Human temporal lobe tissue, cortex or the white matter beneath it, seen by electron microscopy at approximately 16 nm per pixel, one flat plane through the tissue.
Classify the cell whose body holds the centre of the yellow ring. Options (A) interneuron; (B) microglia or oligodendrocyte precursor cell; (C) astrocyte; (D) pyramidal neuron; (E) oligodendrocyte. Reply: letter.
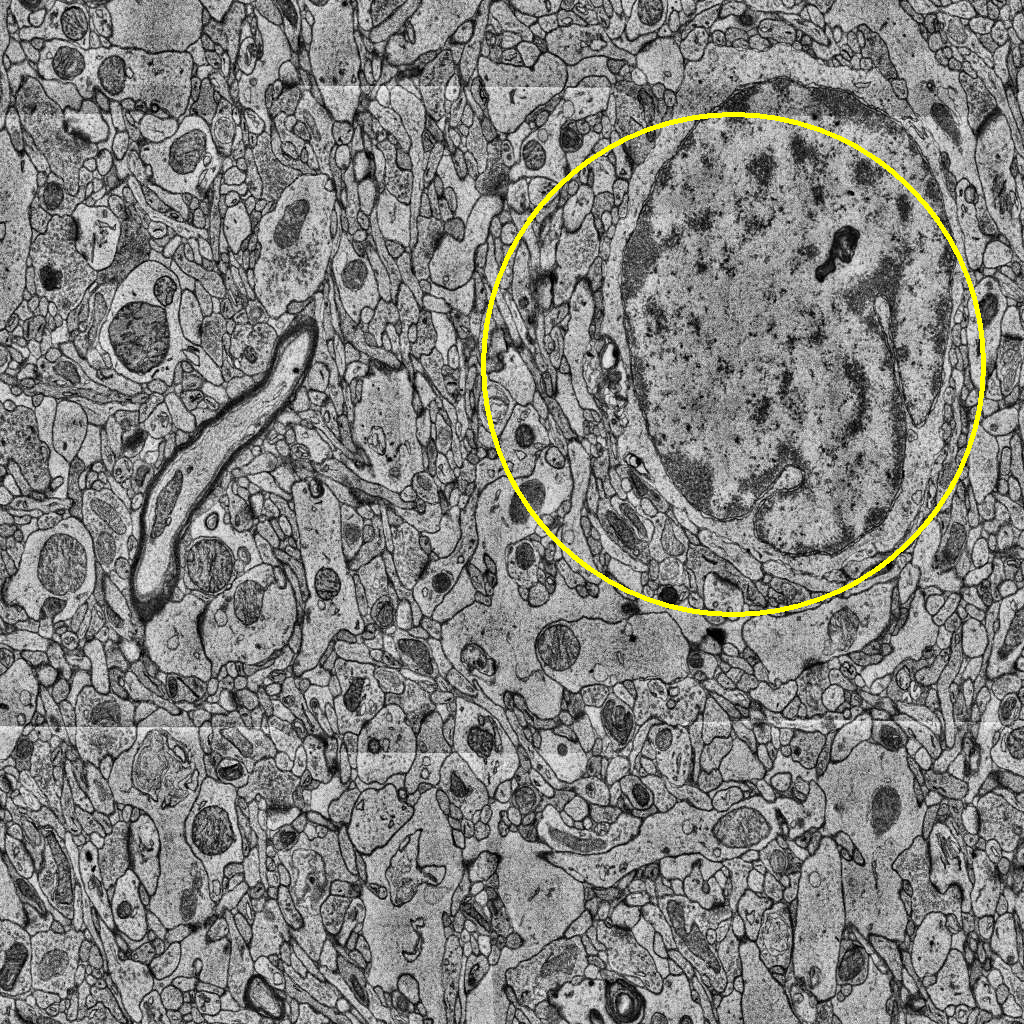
B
